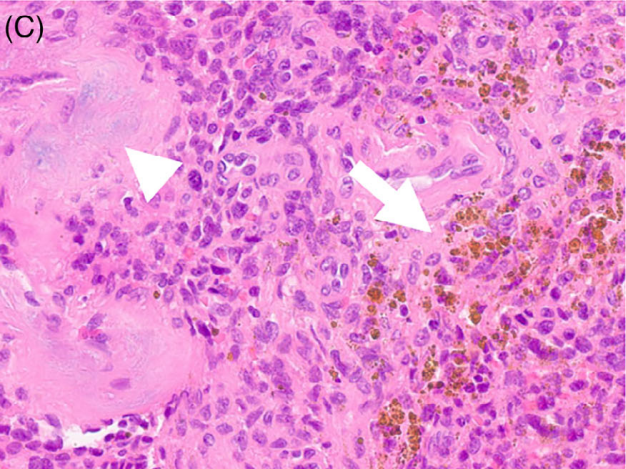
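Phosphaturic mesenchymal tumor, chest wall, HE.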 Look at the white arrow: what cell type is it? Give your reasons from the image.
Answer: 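Clustered rounded cells next to the arrow are filled with coarse golden-brown granules. So: hemosiderin laden macrophages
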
